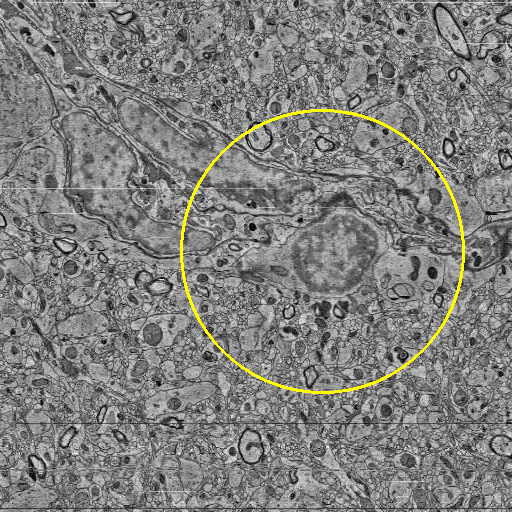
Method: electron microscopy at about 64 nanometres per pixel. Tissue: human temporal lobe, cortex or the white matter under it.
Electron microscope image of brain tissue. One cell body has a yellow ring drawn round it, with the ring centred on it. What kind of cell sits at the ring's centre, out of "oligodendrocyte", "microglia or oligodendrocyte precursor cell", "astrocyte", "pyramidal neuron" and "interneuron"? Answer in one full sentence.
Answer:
It is an oligodendrocyte whose cell body sits at the centre of the yellow ring.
